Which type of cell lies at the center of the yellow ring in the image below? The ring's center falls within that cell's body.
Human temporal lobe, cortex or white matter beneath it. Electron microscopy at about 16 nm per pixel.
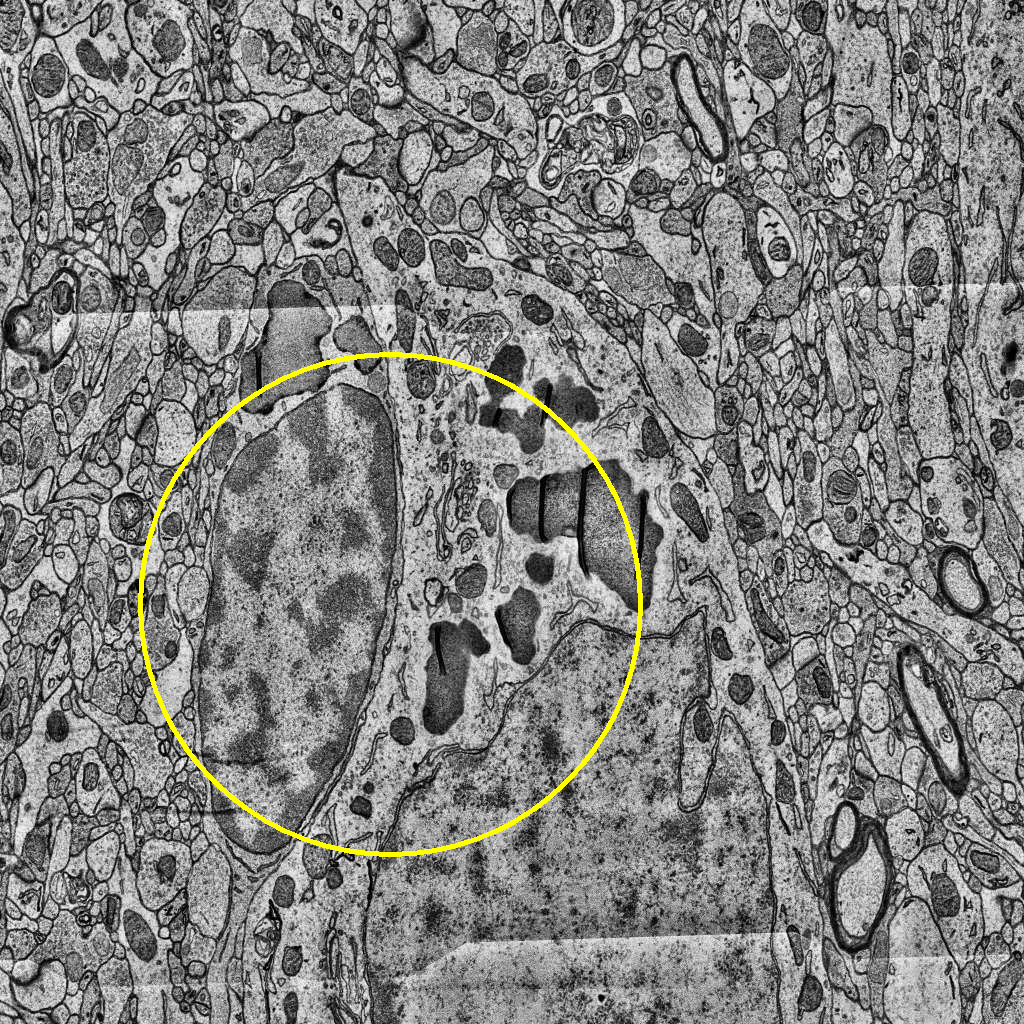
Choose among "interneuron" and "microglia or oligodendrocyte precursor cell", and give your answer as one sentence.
The cell body at the center belongs to a microglial cell or oligodendrocyte precursor cell.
